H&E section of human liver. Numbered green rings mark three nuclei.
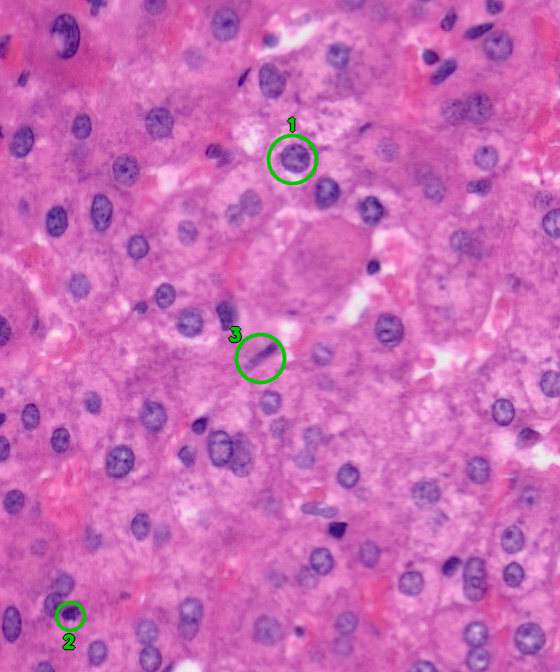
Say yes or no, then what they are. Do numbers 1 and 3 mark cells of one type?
No, cell 1 is a hepatocyte and cell 3, for its part, is a Kupffer cell.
